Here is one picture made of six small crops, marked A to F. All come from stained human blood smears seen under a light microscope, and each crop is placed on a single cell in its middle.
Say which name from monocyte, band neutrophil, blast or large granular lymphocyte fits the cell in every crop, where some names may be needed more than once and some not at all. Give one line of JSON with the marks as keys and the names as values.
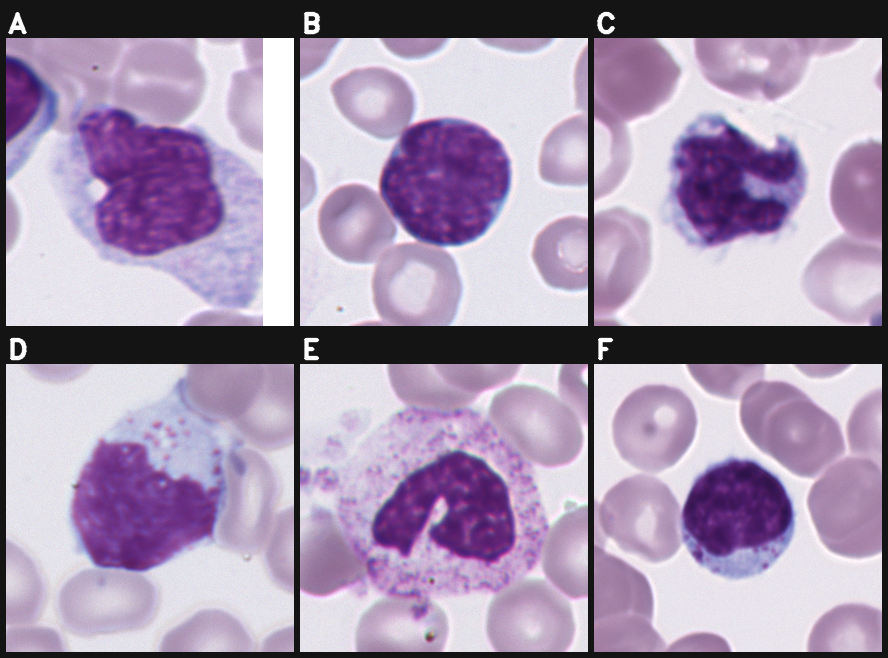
{"A": "monocyte", "B": "blast", "C": "monocyte", "D": "large granular lymphocyte", "E": "band neutrophil", "F": "large granular lymphocyte"}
